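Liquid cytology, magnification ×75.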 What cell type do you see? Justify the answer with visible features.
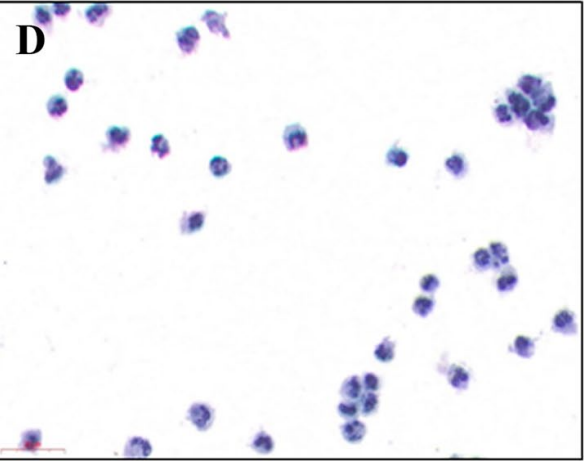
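Small round cells with dark purple, lobed or segmented nuclei. Scant pale cytoplasm around each nucleus. Cells lie singly and in small clusters on a clear background.
Conclusion: polymorphonuclear cells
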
